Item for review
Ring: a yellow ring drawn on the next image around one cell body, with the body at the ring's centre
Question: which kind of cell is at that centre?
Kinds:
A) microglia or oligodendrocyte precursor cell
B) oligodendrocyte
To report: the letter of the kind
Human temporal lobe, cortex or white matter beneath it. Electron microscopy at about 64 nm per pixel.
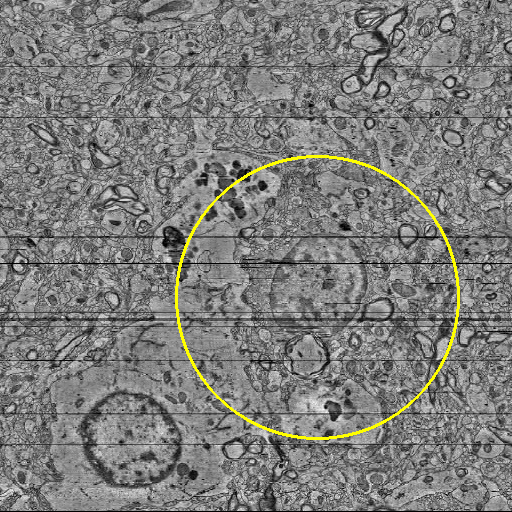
B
